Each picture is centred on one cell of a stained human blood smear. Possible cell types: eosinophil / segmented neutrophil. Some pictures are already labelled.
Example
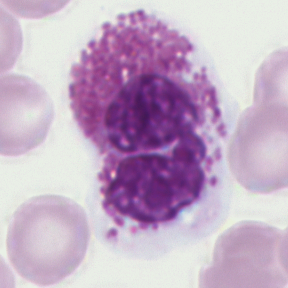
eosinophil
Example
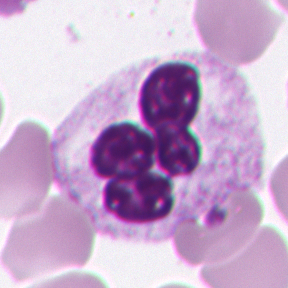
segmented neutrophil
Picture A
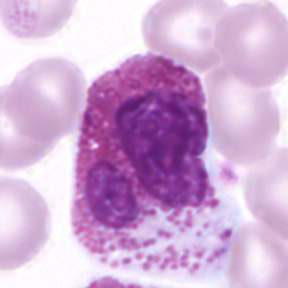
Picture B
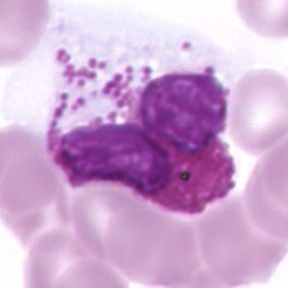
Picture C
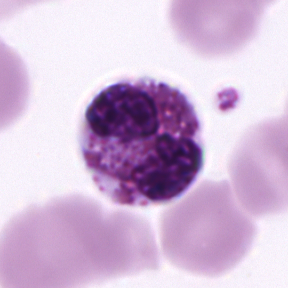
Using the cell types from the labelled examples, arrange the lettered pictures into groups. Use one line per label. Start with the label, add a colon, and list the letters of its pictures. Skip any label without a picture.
eosinophil: A, B, C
